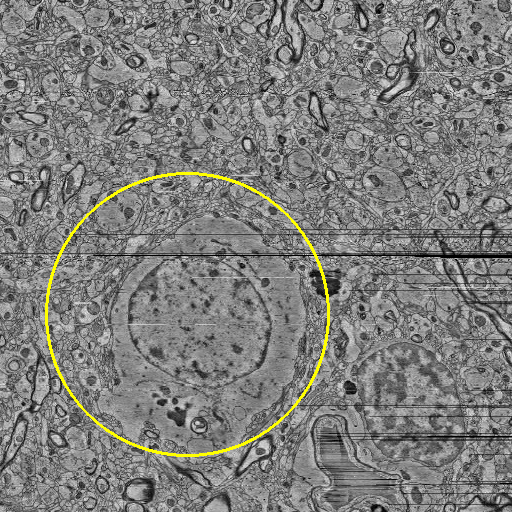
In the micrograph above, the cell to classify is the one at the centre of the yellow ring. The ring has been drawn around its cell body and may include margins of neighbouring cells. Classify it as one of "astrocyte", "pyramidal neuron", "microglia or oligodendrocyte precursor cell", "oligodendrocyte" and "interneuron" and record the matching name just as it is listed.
astrocyte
